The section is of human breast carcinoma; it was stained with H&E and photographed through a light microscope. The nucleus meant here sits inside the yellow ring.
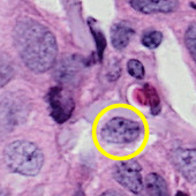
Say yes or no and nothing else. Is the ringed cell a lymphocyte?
no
